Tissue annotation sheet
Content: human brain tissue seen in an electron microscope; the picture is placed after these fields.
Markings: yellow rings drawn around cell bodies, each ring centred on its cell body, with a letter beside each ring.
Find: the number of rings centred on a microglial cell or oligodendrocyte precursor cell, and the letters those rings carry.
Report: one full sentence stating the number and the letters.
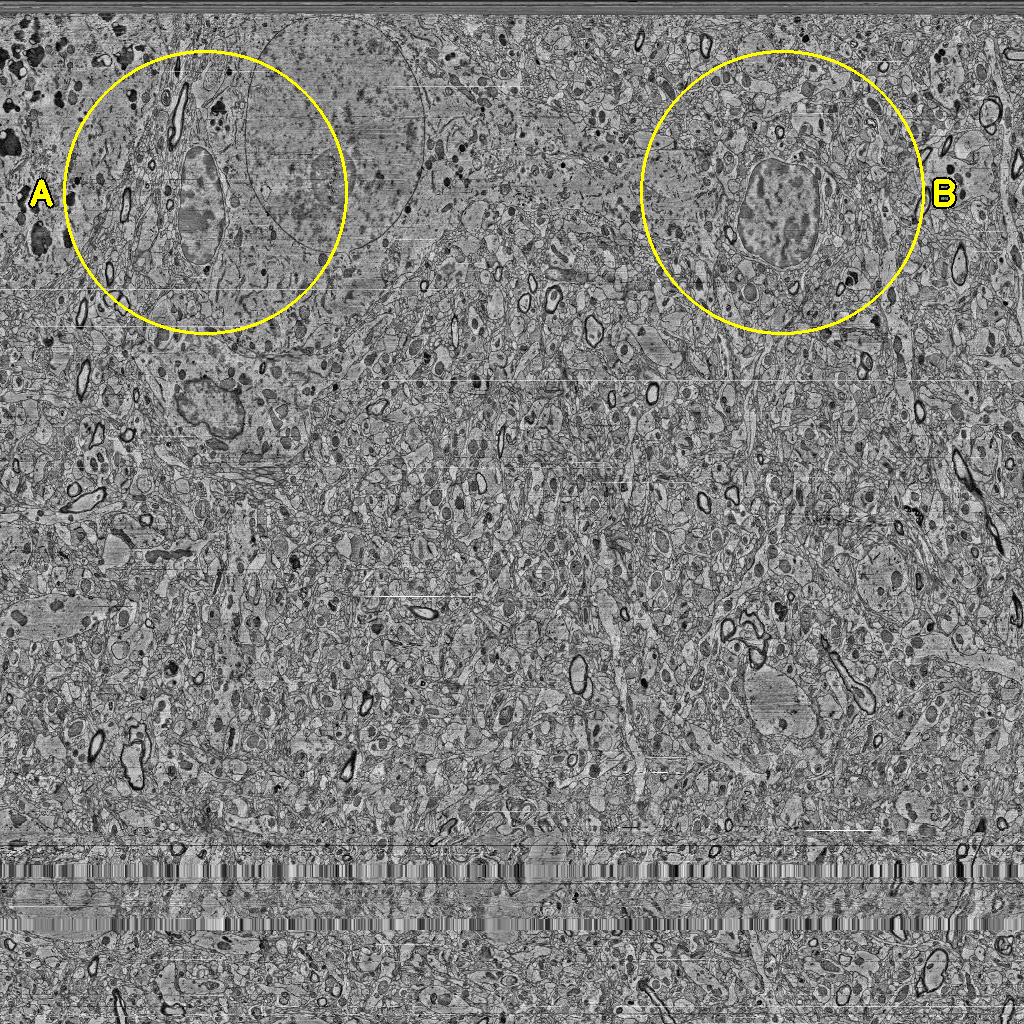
Of all the rings, two are each centred on a microglial cell or oligodendrocyte precursor cell, and these carry the letters A and B.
